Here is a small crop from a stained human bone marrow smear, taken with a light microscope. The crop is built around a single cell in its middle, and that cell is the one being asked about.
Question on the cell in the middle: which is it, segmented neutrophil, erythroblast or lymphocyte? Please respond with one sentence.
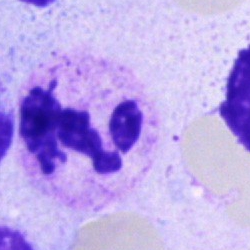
Classified as a segmented neutrophil is the cell in the middle of this crop.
